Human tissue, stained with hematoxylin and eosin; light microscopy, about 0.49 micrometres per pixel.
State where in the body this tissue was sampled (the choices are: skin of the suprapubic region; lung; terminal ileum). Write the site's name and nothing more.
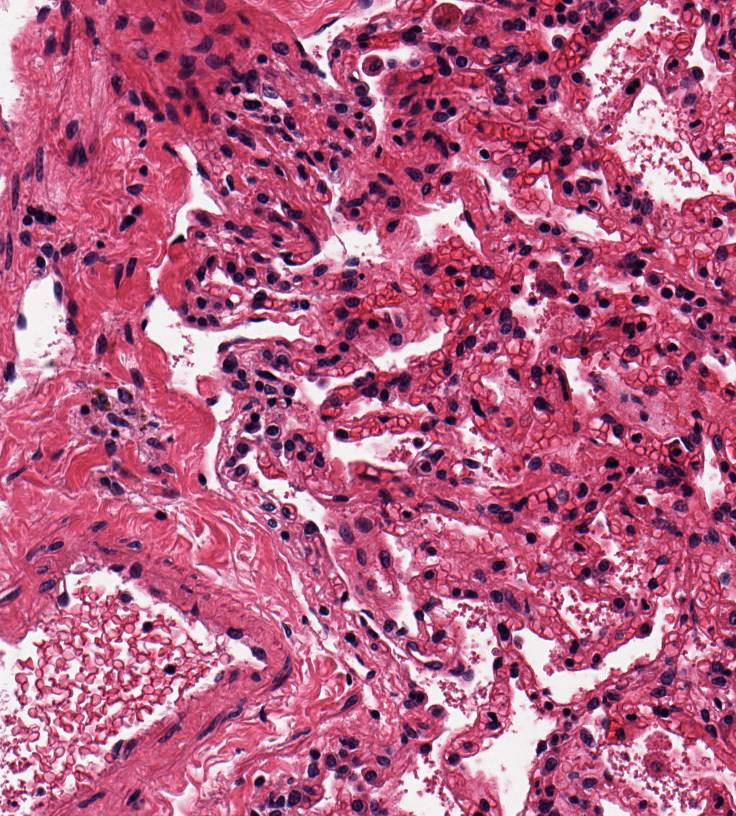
lung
